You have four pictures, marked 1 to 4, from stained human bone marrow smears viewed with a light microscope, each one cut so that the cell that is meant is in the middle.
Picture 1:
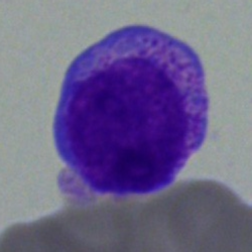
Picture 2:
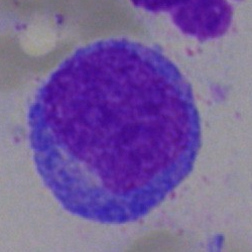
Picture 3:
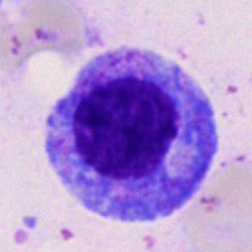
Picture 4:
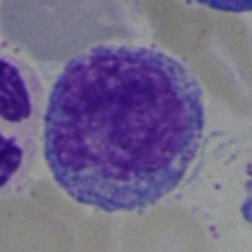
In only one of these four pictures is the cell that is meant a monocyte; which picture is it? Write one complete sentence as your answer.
Picture 4 is the one that shows the monocyte.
